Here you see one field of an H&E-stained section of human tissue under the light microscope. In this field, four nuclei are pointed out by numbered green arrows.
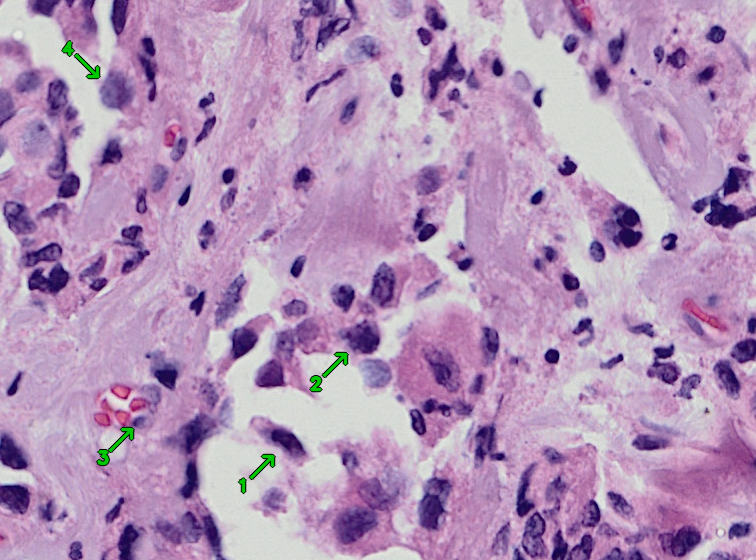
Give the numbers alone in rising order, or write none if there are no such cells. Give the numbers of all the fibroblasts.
none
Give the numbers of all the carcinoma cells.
1, 2, 4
